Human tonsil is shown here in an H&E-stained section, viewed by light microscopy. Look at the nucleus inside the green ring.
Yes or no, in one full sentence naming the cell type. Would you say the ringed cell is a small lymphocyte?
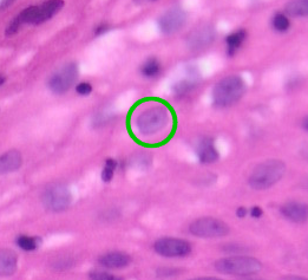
No, the ringed cell corresponds to a squamous epithelial cell rather than to a small lymphocyte.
